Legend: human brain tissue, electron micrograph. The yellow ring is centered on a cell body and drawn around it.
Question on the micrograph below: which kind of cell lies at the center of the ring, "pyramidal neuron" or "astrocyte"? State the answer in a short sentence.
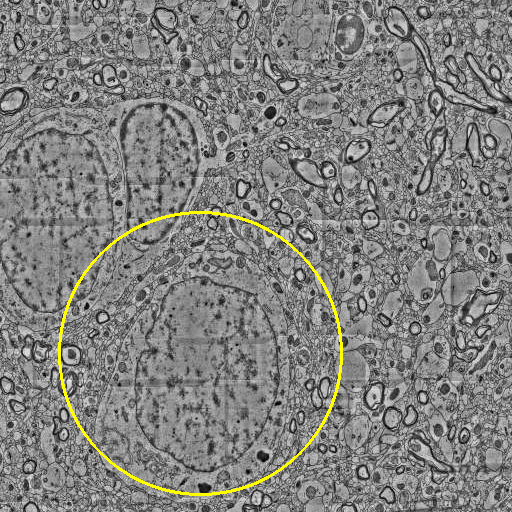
At the center of the ring lies a pyramidal neuron.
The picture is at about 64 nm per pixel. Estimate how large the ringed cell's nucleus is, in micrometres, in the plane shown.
In this plane, the nucleus of the cell at the centre of the ring measures about 12 by 9 micrometres.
